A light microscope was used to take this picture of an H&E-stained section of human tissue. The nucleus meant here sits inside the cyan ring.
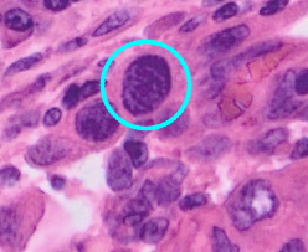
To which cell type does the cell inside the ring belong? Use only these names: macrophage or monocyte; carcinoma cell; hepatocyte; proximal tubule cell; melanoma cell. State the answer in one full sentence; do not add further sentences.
As classified here, the cell inside the ring is a carcinoma cell.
